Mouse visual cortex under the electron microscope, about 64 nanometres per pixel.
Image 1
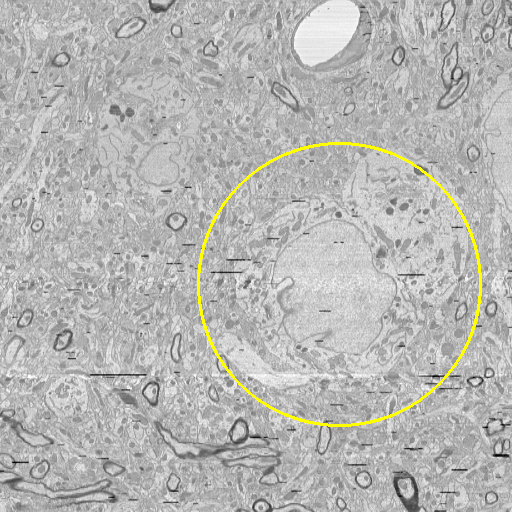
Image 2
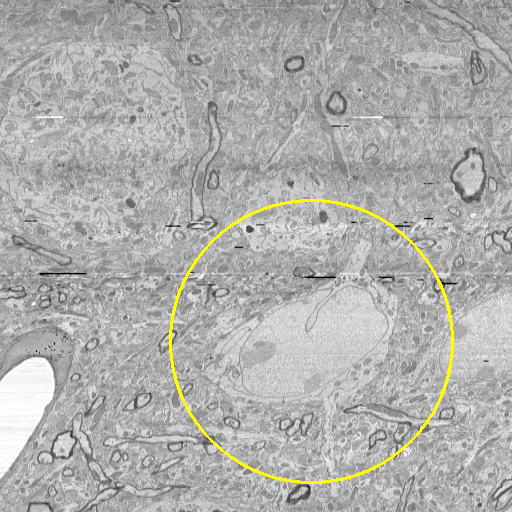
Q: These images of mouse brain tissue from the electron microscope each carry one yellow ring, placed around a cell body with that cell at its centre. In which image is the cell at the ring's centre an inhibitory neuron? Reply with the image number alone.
1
